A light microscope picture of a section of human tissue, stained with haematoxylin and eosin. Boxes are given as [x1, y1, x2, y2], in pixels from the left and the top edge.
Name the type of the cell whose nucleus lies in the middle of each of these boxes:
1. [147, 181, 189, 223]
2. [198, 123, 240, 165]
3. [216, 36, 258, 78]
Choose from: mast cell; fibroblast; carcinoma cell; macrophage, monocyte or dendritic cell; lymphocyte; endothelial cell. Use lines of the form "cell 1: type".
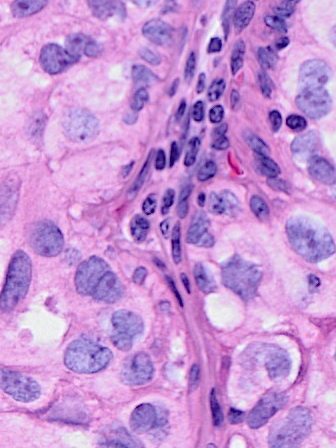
cell 1: lymphocyte
cell 2: endothelial cell
cell 3: endothelial cell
